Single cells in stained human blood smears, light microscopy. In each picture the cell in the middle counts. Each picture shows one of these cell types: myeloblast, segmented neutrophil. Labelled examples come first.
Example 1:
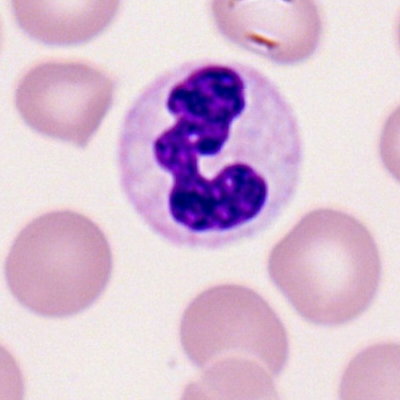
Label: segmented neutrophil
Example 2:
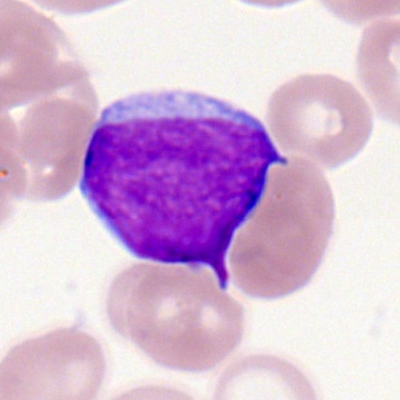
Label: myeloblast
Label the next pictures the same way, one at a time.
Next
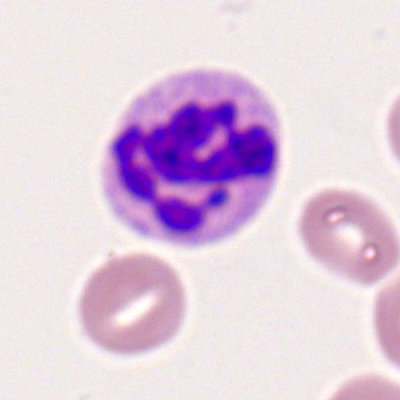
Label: segmented neutrophil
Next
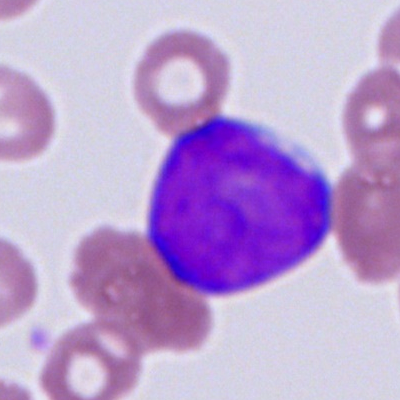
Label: myeloblast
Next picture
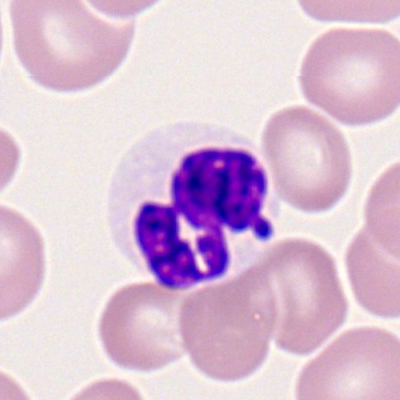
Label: segmented neutrophil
